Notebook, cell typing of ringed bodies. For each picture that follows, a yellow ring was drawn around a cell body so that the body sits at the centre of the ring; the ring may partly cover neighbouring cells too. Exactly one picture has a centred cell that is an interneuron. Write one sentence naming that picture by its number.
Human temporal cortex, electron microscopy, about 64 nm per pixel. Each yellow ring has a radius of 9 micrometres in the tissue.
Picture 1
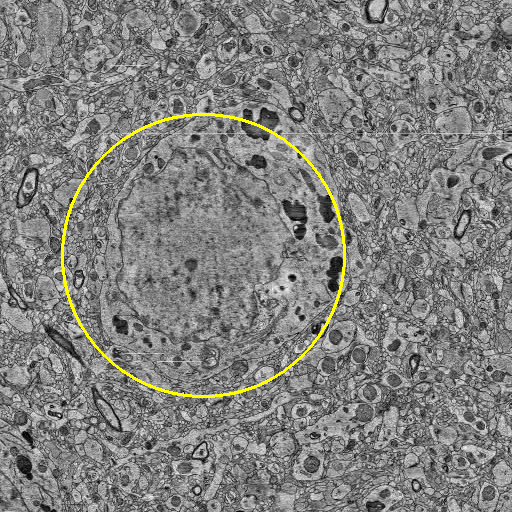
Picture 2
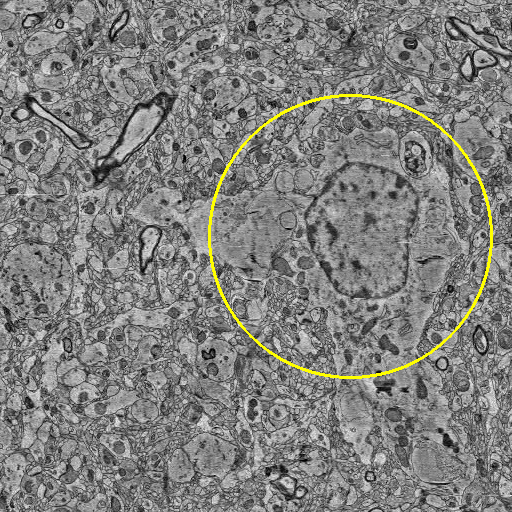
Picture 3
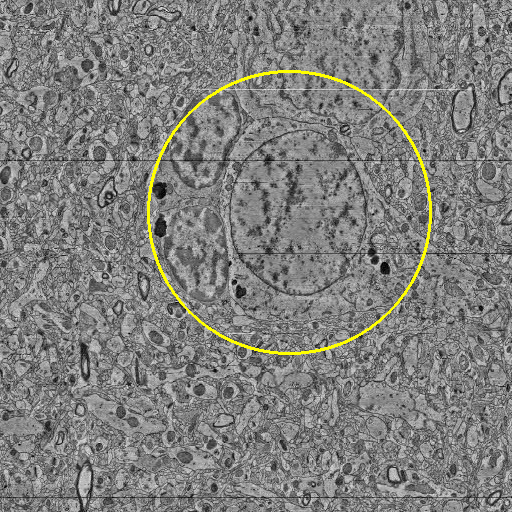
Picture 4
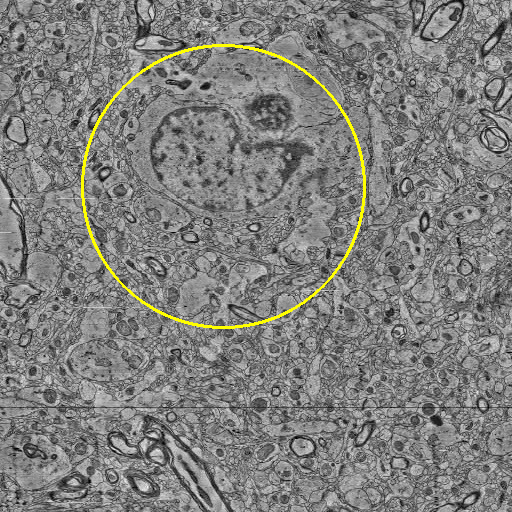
Picture 1 is the one with it at the centre of its ring.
